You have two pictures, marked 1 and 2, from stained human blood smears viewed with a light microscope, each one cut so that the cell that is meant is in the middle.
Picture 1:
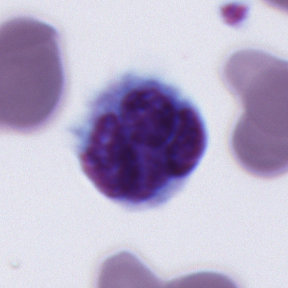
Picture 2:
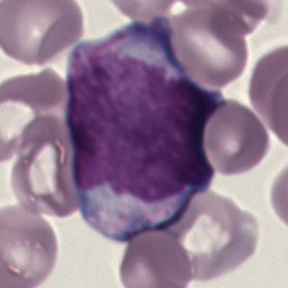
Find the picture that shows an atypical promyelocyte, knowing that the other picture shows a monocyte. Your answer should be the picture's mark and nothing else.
2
